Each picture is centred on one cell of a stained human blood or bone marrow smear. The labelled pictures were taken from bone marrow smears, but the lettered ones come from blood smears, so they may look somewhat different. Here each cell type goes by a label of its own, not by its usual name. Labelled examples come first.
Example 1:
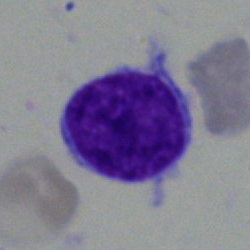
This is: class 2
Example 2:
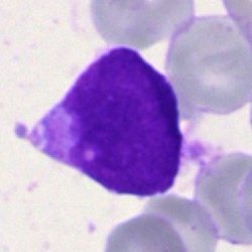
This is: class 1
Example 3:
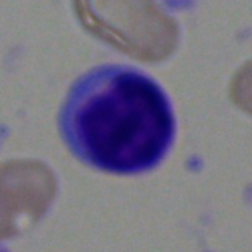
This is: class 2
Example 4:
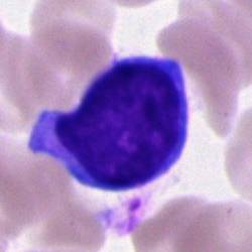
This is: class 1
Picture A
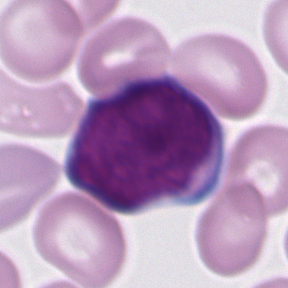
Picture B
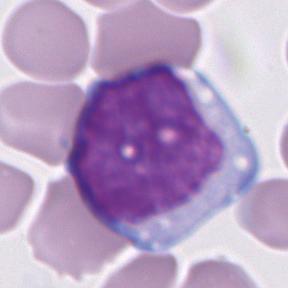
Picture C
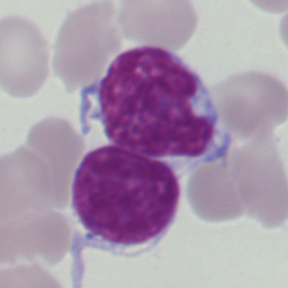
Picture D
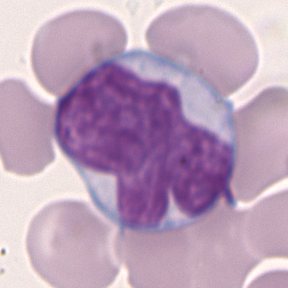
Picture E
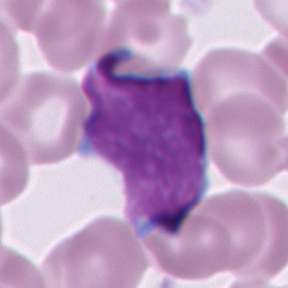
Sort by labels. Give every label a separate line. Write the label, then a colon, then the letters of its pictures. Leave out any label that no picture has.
class 2: E
class 1: A, B, C, D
